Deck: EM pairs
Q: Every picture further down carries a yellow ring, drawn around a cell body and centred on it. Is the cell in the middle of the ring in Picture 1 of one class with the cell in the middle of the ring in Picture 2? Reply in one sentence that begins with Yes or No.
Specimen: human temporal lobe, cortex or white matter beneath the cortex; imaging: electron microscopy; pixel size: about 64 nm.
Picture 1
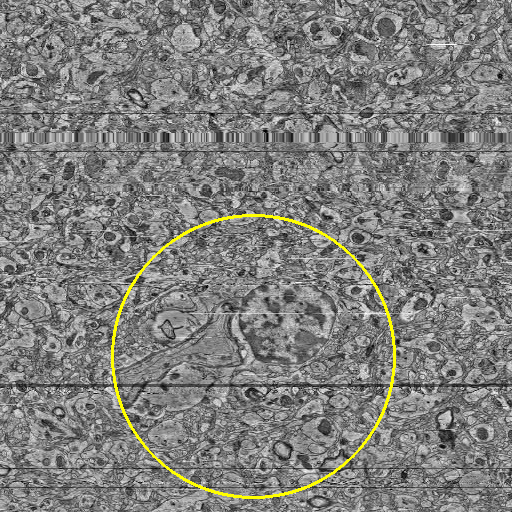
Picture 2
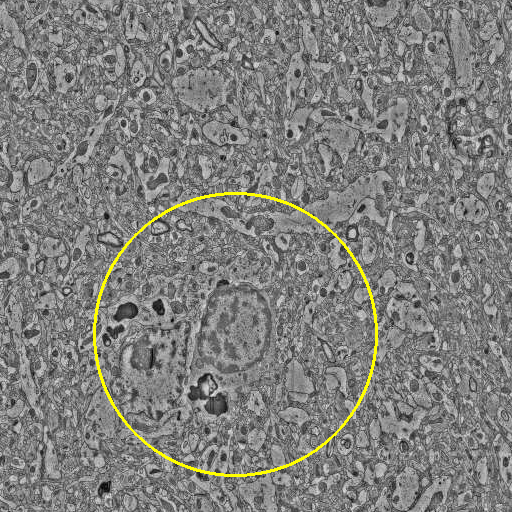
No, the cell centred in the ring of Picture 1 and the one in Picture 2 belong to separate classes.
